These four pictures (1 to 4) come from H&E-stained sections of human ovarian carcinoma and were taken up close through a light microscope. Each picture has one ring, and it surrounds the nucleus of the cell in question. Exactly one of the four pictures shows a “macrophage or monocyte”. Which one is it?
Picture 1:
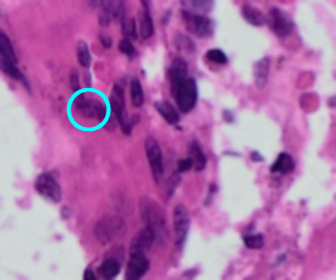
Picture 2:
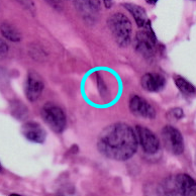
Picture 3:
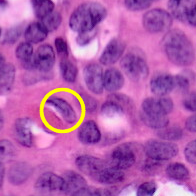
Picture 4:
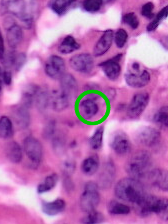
4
